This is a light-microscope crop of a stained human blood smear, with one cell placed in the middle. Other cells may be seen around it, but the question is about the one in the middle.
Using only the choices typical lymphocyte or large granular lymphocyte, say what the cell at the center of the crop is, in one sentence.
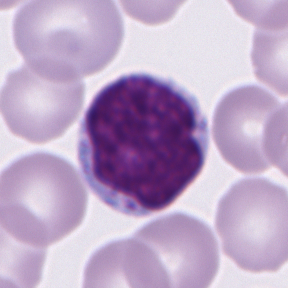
At the center of the crop sits a typical lymphocyte.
